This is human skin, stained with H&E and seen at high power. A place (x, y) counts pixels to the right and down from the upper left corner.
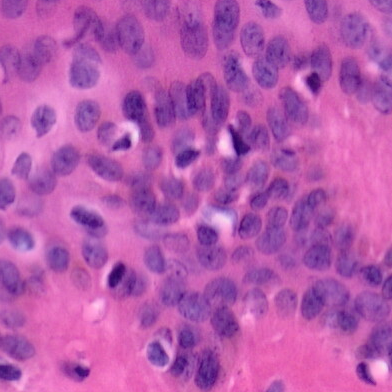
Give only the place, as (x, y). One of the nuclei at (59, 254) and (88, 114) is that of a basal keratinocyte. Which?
(59, 254)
